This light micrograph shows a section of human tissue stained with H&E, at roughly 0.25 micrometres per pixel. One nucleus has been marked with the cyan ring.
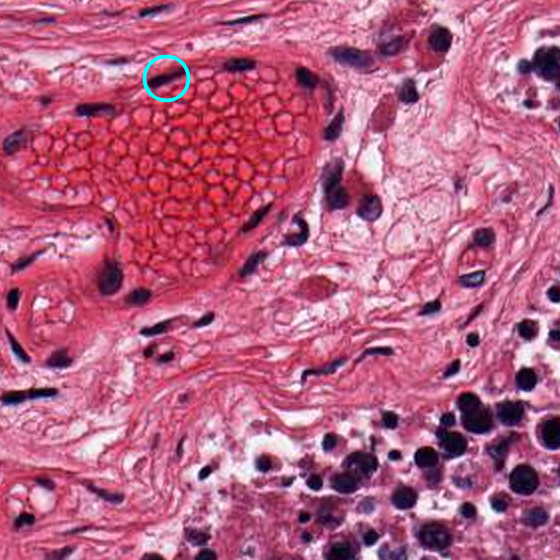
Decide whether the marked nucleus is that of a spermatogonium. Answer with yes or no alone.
no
